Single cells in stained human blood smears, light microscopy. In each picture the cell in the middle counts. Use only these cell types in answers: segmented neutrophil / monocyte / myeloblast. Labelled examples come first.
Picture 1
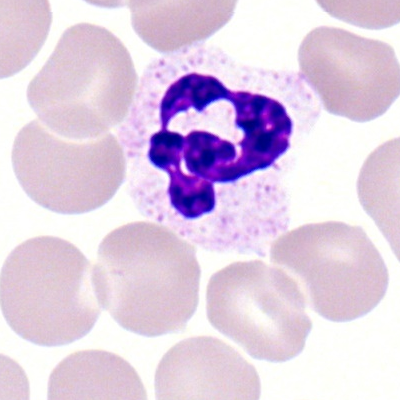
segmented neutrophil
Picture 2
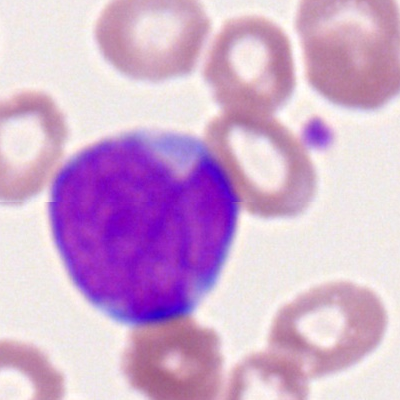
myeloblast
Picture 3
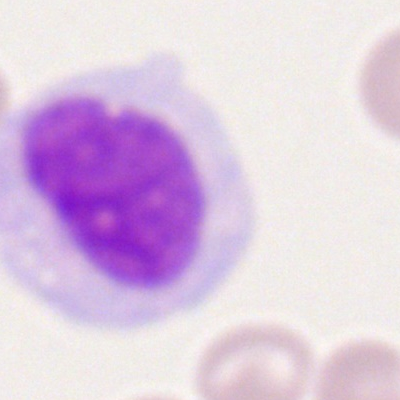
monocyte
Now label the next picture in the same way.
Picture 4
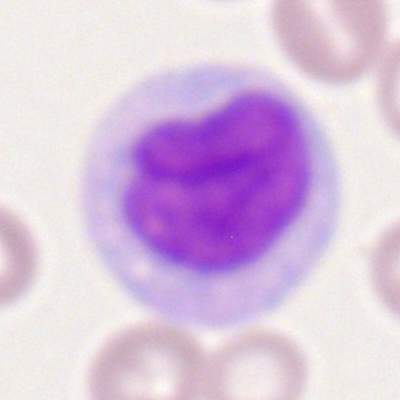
monocyte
